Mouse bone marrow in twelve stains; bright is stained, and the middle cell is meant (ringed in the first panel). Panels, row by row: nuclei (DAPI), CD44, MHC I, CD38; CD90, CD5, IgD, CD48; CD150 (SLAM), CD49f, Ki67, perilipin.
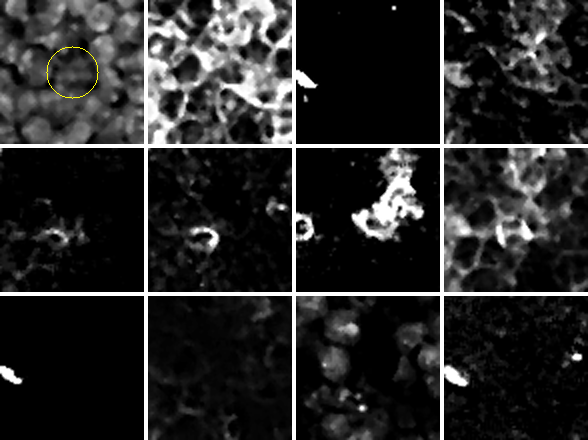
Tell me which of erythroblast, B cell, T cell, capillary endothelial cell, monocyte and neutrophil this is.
The picture shows an erythroblast.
